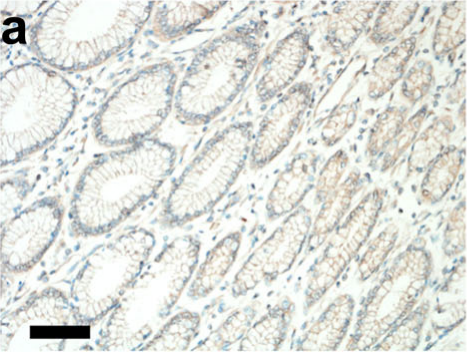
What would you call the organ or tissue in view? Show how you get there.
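Normal gastric tissue. Regular, closely packed round glands cut in cross-section. Glands lined by a single layer of tall columnar cells with pale, clear cytoplasm. Small basal nuclei and thin stroma between the glands.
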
